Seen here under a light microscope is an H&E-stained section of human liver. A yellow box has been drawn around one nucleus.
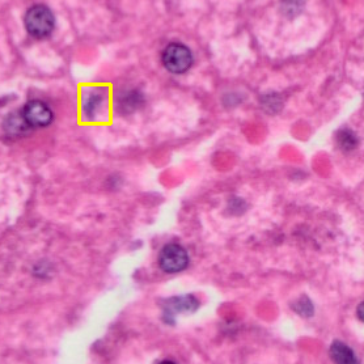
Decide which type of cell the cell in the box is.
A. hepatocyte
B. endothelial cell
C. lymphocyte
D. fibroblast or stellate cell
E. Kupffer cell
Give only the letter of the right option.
D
